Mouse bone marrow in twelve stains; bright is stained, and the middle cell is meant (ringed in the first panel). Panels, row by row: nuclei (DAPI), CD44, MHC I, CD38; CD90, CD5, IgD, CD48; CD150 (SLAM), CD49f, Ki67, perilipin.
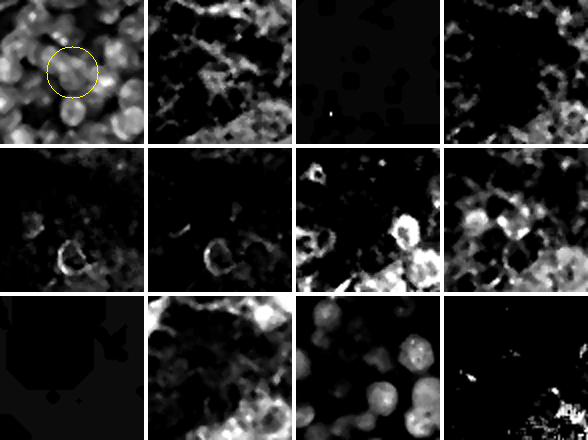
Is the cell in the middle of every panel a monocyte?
Yes, it is a monocyte.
